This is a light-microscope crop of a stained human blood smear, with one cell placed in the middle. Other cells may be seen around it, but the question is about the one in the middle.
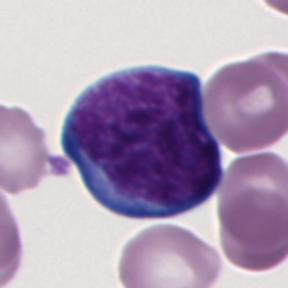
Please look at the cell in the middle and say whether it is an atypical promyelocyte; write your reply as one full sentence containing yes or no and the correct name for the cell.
No, in the middle of the crop there is a myeloblast rather than an atypical promyelocyte.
